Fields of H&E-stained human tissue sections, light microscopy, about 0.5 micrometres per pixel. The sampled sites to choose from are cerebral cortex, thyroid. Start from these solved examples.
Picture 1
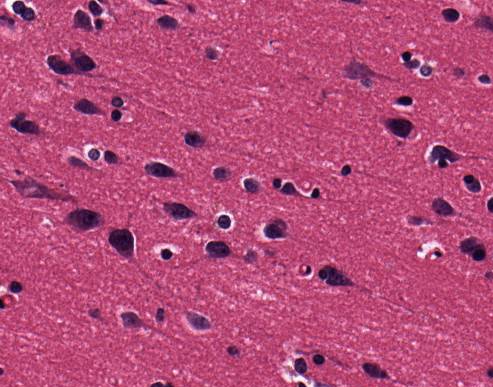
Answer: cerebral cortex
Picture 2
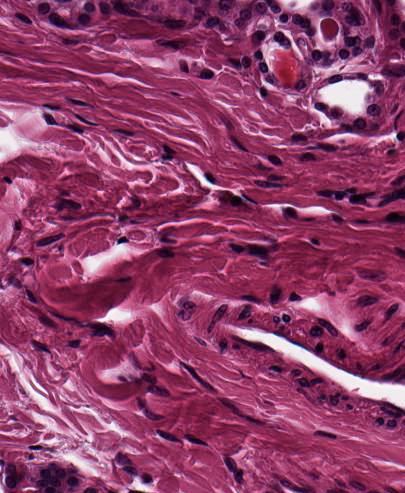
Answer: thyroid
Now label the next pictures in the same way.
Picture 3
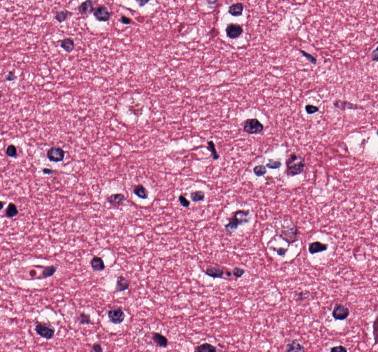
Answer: cerebral cortex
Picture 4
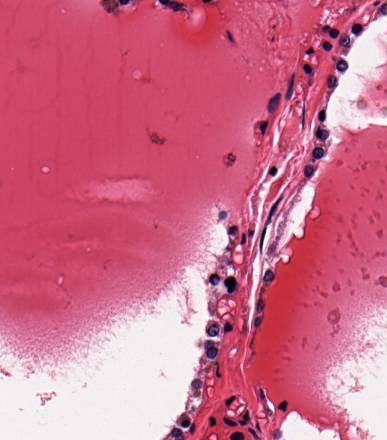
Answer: thyroid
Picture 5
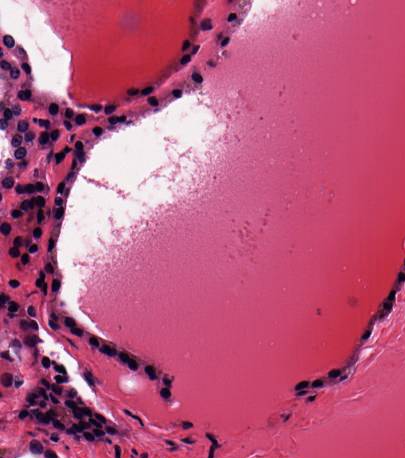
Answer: thyroid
